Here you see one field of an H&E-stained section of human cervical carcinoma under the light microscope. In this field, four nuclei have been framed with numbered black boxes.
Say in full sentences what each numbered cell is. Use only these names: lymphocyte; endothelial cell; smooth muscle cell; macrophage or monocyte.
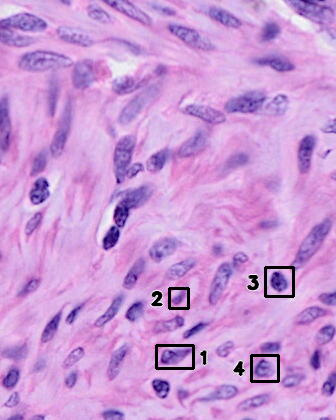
Cells 1, 2 and 4 are smooth muscle cells. Cell 3 is a lymphocyte.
